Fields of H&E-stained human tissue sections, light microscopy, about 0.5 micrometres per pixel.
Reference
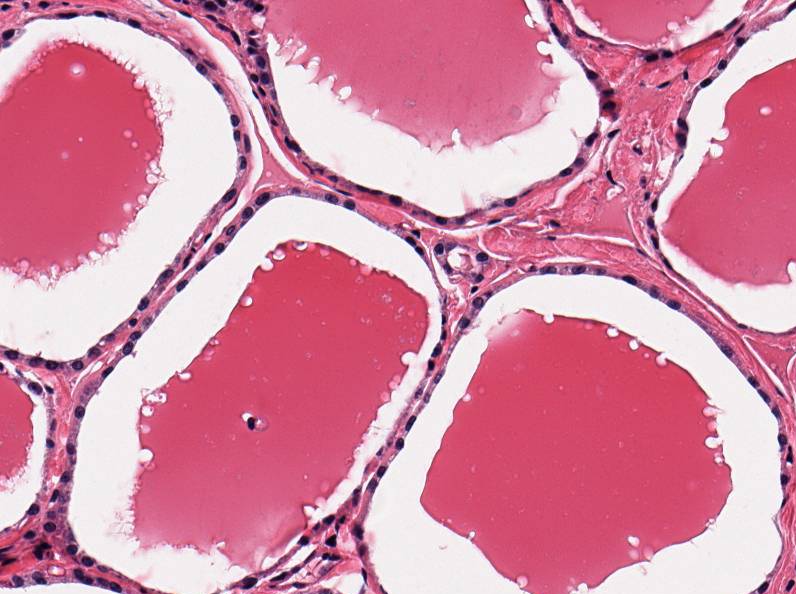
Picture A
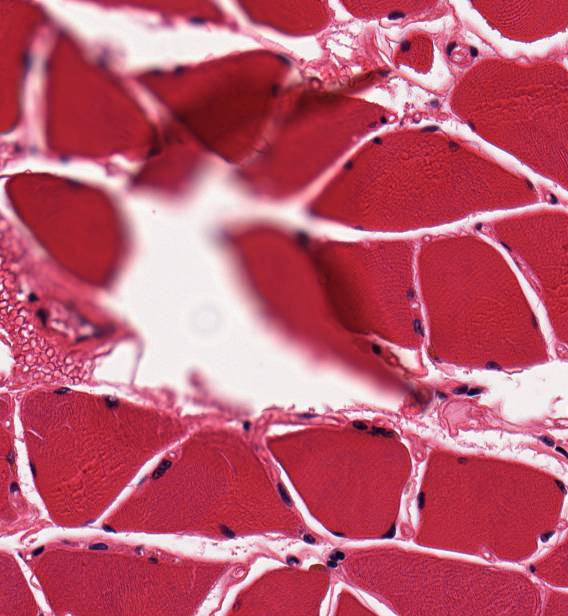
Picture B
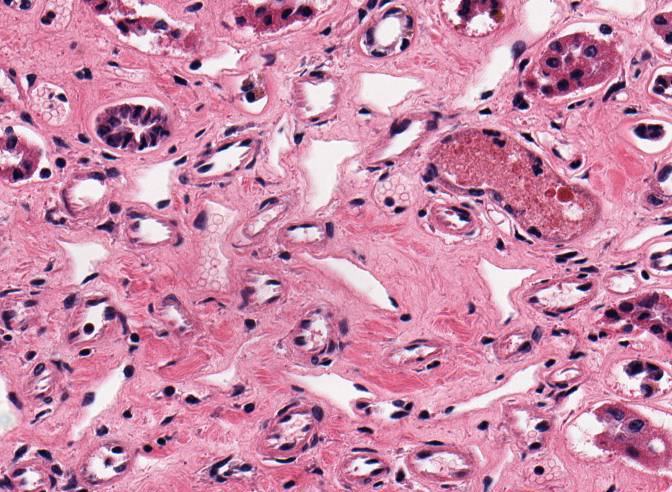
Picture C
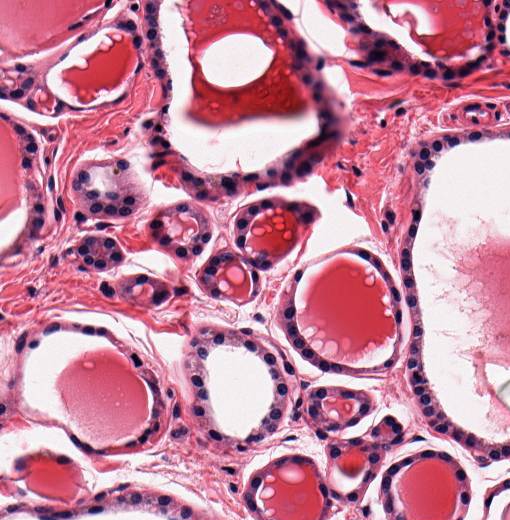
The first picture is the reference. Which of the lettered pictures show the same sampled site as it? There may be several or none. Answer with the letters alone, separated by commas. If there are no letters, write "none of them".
C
